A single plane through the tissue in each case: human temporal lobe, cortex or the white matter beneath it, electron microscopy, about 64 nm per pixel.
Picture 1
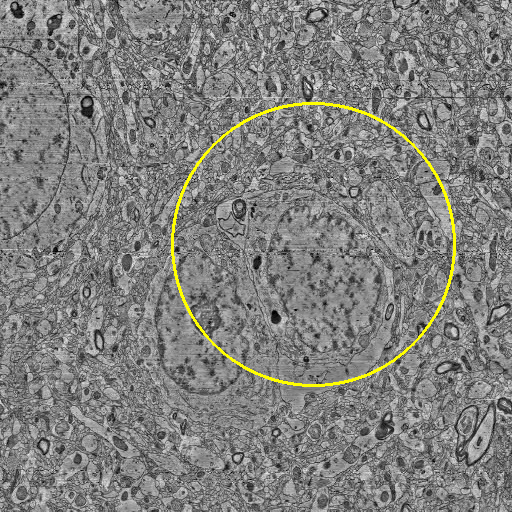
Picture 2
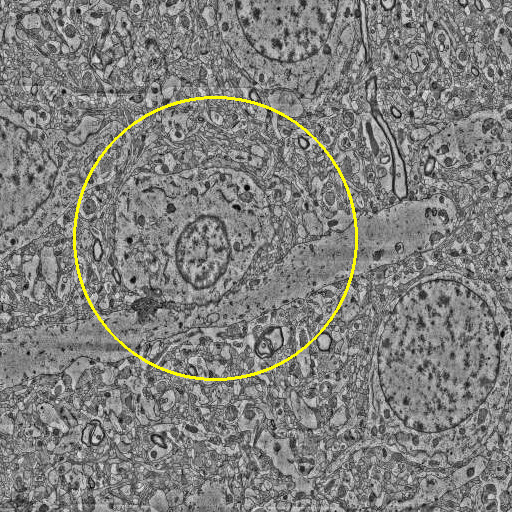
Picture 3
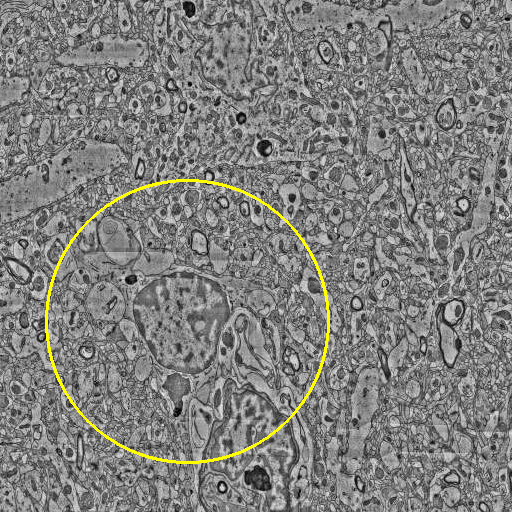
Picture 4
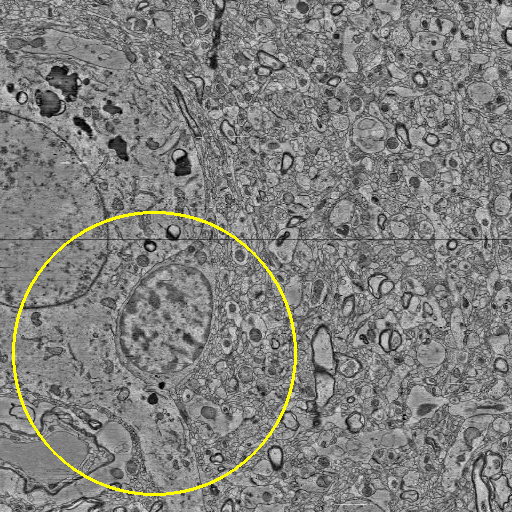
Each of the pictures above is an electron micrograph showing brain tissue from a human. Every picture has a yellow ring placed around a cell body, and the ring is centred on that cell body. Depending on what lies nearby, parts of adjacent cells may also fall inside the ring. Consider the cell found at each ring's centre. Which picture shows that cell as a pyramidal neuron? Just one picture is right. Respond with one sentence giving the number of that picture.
The picture showing the wanted cell at the ring's centre is number 2.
